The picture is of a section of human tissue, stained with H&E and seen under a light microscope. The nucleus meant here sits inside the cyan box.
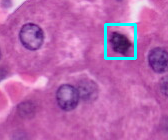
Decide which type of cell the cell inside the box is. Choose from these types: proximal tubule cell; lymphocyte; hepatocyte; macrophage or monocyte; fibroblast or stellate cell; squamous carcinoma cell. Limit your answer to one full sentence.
By its classification, the cell inside the box is a fibroblast or stellate cell.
